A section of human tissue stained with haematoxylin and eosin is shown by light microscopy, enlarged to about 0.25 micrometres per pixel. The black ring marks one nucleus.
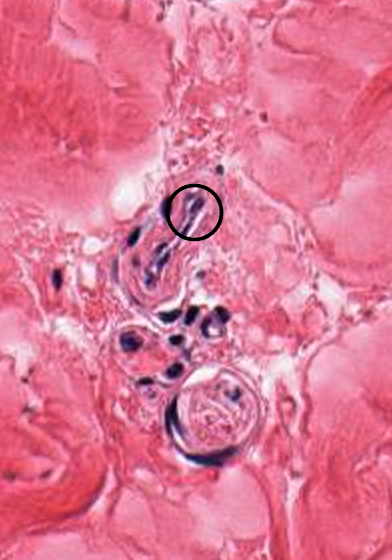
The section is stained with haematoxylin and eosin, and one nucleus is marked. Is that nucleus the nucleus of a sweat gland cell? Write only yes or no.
no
